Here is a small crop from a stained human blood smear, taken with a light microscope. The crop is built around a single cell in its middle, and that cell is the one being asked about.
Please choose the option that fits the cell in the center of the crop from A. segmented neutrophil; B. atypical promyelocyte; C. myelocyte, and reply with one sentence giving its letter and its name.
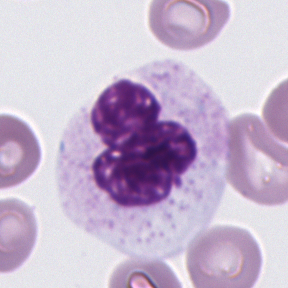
Option A holds up: the cell in the middle is a segmented neutrophil.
